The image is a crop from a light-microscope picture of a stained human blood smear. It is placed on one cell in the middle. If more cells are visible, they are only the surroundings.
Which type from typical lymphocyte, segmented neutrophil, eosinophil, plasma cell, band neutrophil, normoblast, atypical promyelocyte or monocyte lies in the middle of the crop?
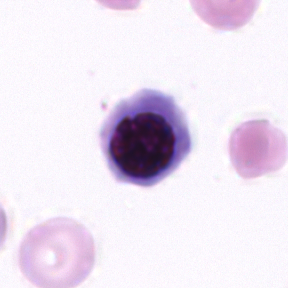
normoblast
